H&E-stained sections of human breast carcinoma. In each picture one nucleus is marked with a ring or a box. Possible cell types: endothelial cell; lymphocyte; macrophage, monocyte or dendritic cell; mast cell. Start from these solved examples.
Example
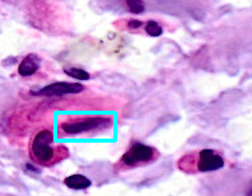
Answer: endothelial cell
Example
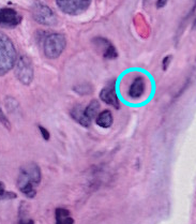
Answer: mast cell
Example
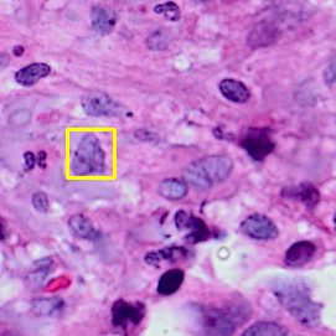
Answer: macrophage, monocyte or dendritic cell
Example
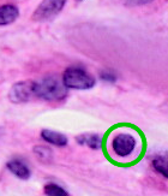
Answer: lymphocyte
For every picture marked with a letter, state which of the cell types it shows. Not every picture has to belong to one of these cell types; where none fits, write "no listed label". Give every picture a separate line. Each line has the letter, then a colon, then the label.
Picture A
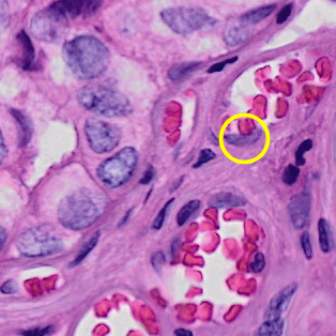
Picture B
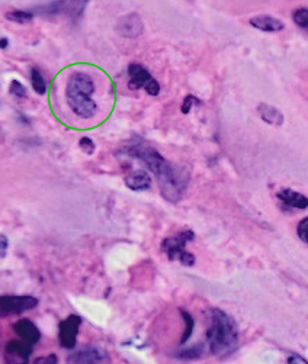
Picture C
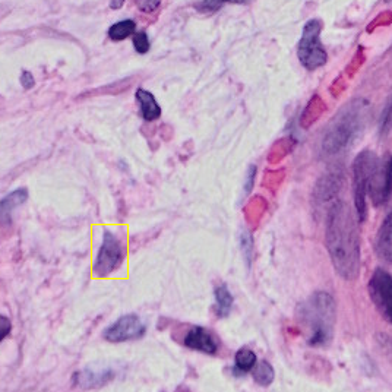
A: endothelial cell
B: mast cell
C: macrophage, monocyte or dendritic cell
